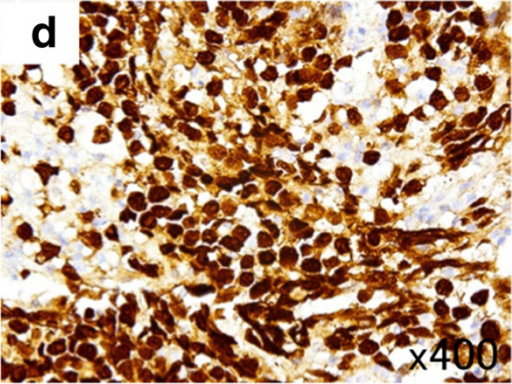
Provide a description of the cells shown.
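Tumor cells show intense dark brown staining of their round nuclei, with lighter brown in the surrounding cytoplasm in places. The stained nuclei are densely packed in sheets and streaks. Scattered cells and small nuclei among them remain unstained, blue. Areas of pale, loose tissue lie at the edges.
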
